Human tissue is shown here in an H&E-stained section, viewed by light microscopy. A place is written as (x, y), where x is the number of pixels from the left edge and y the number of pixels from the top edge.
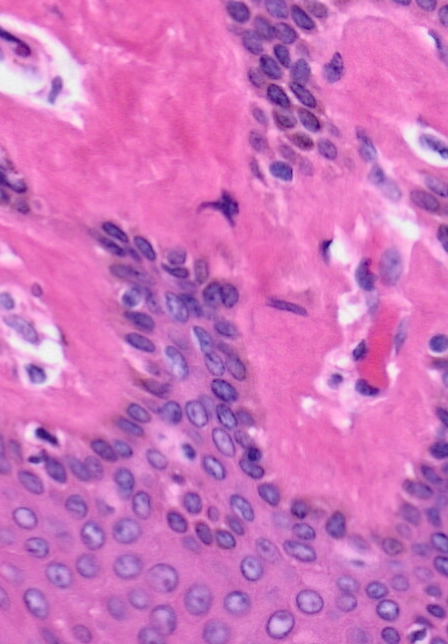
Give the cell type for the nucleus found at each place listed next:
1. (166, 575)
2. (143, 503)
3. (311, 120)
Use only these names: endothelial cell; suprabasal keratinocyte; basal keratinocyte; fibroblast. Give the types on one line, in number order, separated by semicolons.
suprabasal keratinocyte; suprabasal keratinocyte; basal keratinocyte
